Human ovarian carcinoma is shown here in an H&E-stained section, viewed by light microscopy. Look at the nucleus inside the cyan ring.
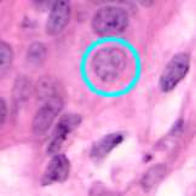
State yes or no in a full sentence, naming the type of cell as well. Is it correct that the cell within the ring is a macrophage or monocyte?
No, judged by cell type, the cell within the ring is a carcinoma cell, not a macrophage or monocyte.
